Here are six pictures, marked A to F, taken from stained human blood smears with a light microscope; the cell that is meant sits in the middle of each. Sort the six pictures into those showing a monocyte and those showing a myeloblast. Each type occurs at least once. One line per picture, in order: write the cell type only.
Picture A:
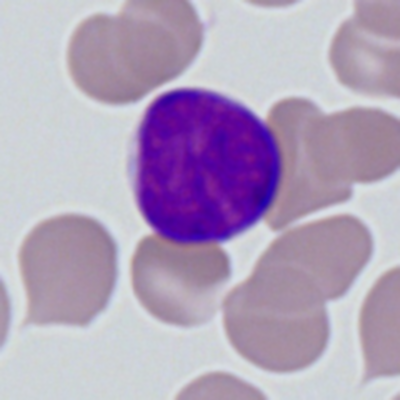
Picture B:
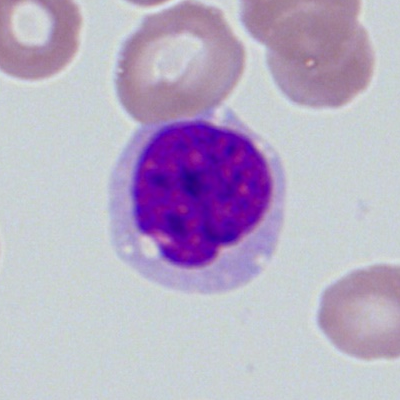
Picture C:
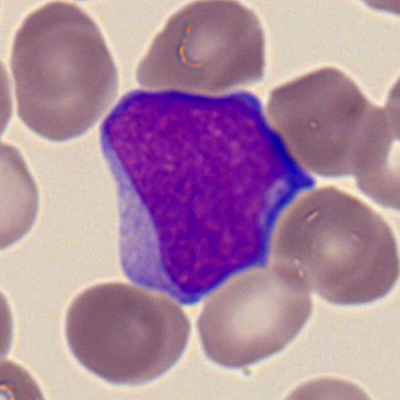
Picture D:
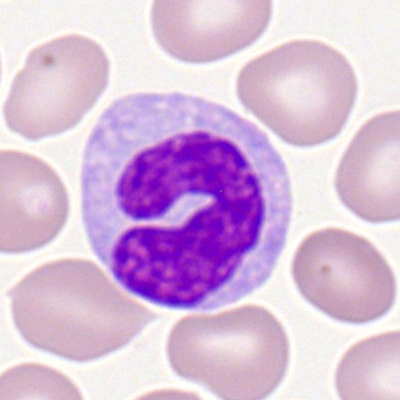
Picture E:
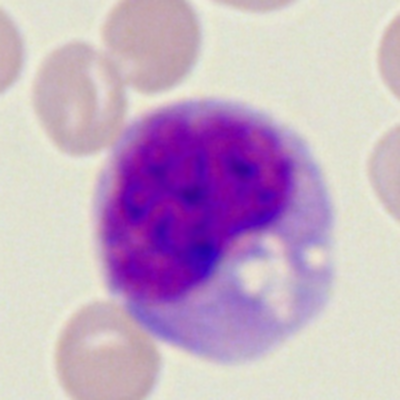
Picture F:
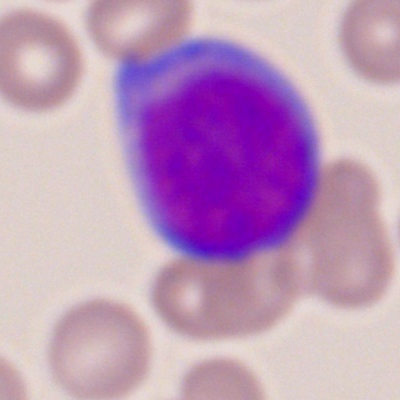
myeloblast
monocyte
myeloblast
monocyte
monocyte
myeloblast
